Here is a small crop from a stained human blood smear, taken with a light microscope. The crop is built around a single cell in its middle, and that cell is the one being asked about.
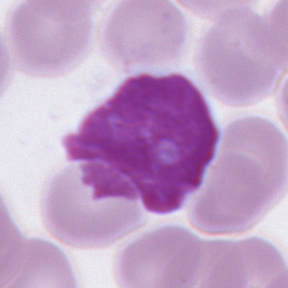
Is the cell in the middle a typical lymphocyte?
no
